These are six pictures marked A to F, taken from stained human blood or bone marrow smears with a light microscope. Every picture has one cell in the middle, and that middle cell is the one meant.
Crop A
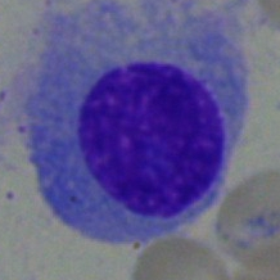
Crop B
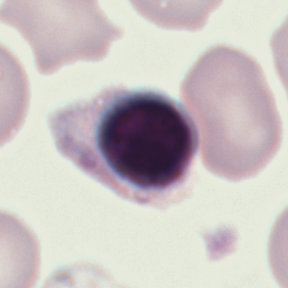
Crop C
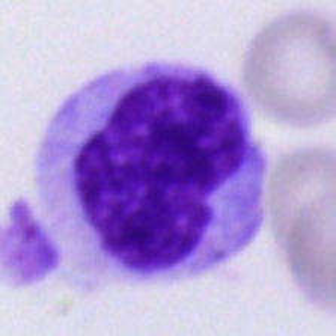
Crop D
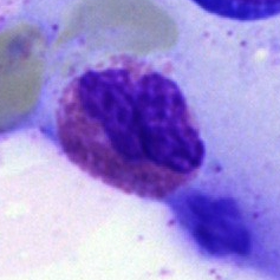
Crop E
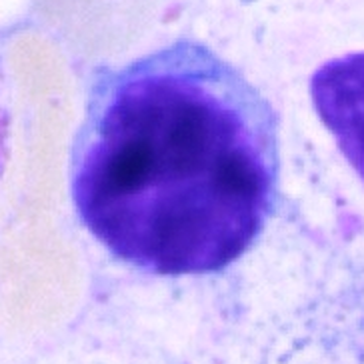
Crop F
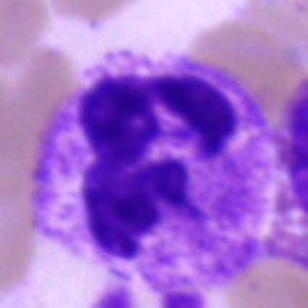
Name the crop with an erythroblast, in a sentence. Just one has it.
Here the crop that shows an erythroblast is crop B.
